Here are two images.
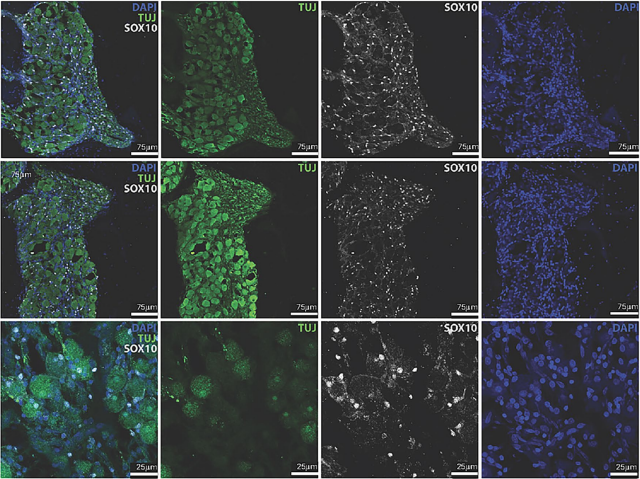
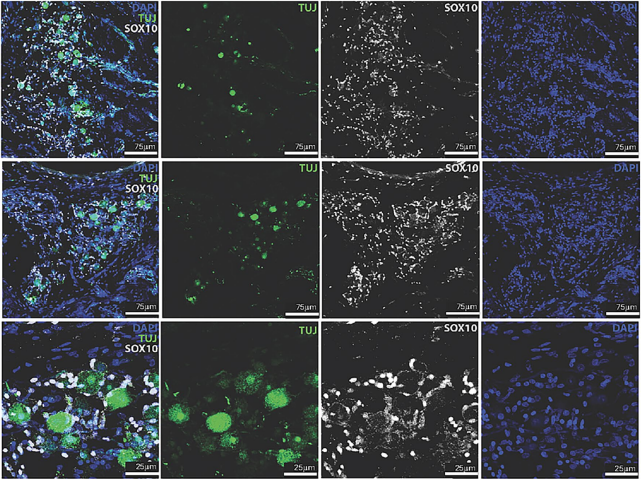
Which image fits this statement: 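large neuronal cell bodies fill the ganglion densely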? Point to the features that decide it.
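The first image. Second image: only a few scattered green cell bodies among many small white and blue nuclei. First image: green cell bodies packed side by side across the ganglion.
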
